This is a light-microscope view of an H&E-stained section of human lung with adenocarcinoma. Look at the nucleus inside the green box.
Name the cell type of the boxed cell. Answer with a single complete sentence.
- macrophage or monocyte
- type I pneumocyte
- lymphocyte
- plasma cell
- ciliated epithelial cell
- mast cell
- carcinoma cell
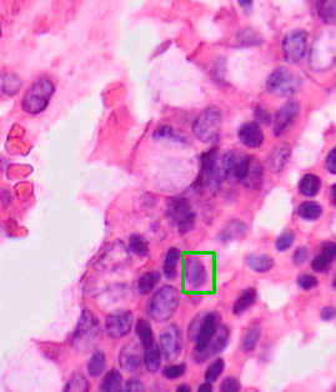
Students should answer that the boxed cell is a ciliated epithelial cell.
